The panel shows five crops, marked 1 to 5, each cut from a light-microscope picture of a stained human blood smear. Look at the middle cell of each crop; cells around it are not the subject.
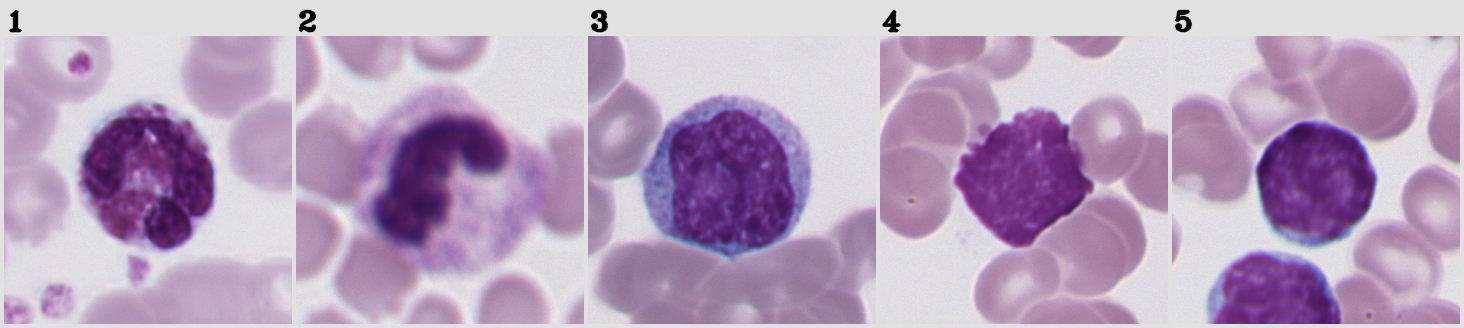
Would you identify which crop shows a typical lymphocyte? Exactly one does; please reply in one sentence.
As for which crop shows a typical lymphocyte, it is crop 5.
